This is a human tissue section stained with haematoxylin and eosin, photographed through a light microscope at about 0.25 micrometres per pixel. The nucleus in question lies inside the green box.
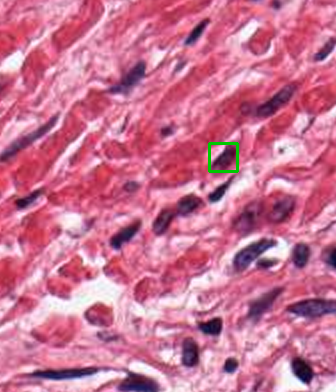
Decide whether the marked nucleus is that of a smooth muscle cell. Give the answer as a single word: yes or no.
yes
